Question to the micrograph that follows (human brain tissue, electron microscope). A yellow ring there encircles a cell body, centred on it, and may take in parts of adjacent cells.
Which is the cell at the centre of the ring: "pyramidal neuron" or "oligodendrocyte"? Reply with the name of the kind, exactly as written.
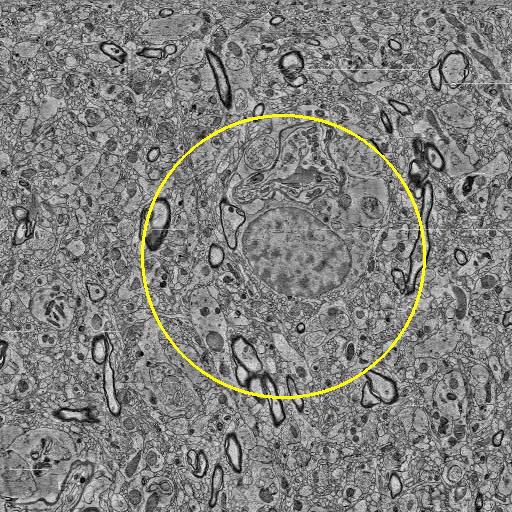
oligodendrocyte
